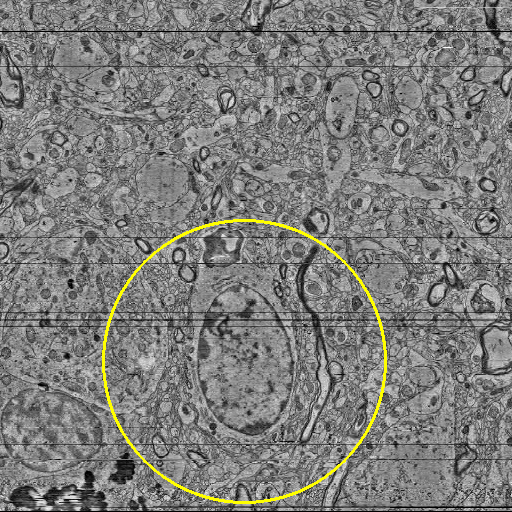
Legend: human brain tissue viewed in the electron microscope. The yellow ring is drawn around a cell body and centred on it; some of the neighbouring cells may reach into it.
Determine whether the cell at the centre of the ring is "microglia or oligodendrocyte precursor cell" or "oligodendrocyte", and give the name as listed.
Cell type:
microglia or oligodendrocyte precursor cell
